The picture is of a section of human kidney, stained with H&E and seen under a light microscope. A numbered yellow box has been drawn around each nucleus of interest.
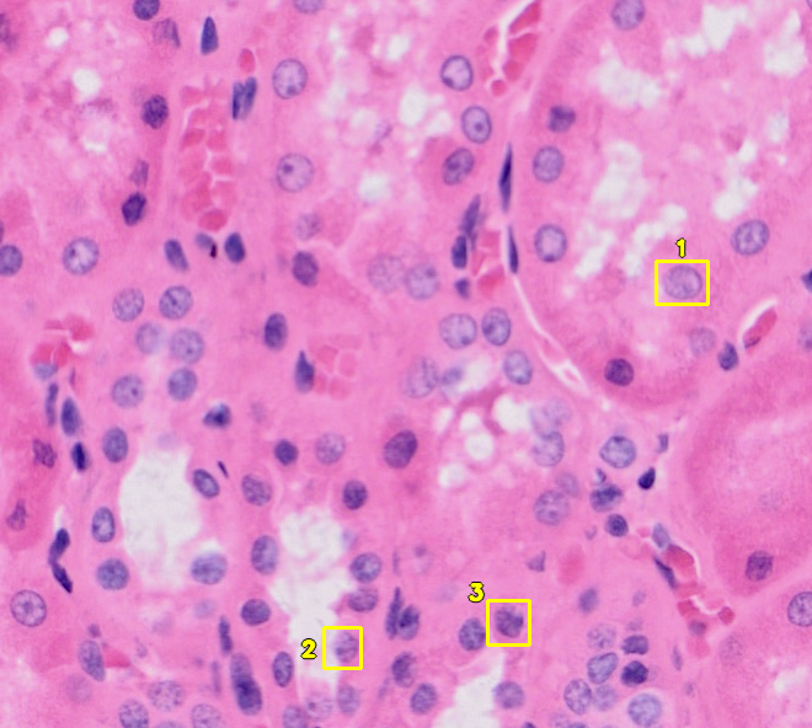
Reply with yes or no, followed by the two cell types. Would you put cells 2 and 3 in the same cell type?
Yes, cells 2 and 3 are two loop of Henle or distal tubule cells.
